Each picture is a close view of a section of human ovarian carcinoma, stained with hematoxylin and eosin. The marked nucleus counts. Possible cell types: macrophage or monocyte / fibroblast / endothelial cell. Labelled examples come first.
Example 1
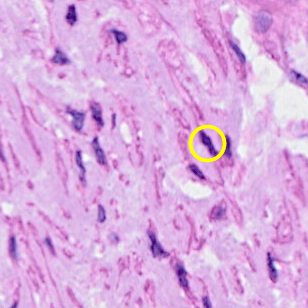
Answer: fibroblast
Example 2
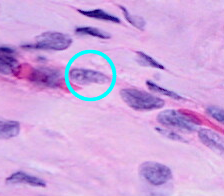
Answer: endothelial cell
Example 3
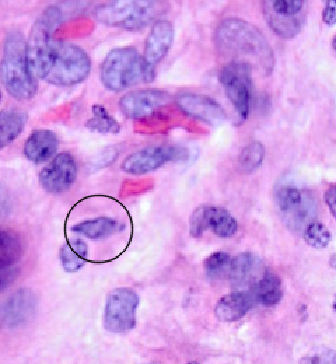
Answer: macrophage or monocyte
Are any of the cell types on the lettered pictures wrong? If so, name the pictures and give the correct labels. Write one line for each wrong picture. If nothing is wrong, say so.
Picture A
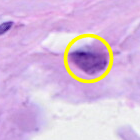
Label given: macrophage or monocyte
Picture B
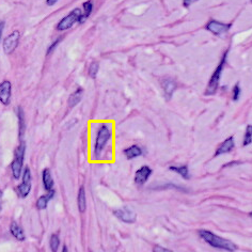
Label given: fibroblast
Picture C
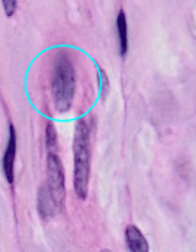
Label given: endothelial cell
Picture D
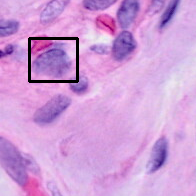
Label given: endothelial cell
A: not macrophage or monocyte but fibroblast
